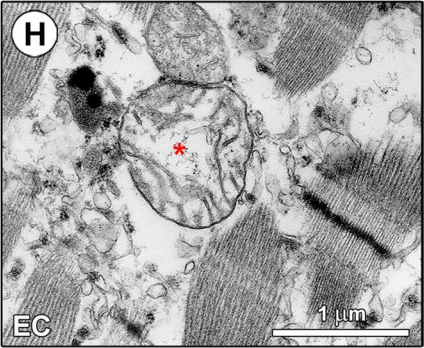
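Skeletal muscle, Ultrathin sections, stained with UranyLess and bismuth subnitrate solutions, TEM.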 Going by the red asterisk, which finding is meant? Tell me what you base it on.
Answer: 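A large round organelle bounded by a membrane lies among myofibrils. Its interior is pale with few, disordered inner folds.
Answer: swollen mitochondria with disarranged or even missing cristae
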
